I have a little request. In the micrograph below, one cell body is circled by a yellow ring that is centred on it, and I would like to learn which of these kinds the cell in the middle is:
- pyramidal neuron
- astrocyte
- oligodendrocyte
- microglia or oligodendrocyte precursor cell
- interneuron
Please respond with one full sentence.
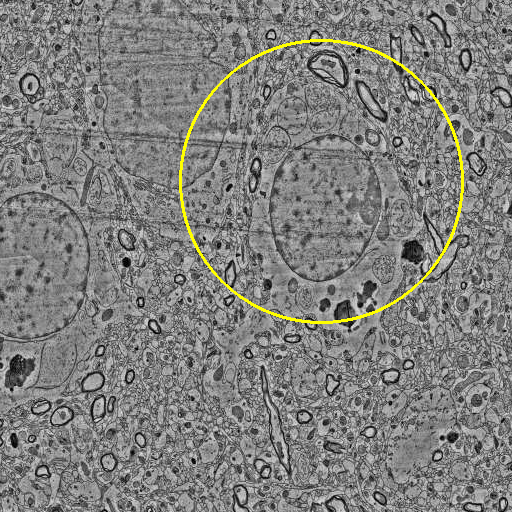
The cell sitting in the middle of the yellow ring in the micrograph is an astrocyte.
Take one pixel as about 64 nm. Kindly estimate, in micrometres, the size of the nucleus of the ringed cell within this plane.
The ringed cell's nucleus measures approximately 10 by 8 micrometres in this plane.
